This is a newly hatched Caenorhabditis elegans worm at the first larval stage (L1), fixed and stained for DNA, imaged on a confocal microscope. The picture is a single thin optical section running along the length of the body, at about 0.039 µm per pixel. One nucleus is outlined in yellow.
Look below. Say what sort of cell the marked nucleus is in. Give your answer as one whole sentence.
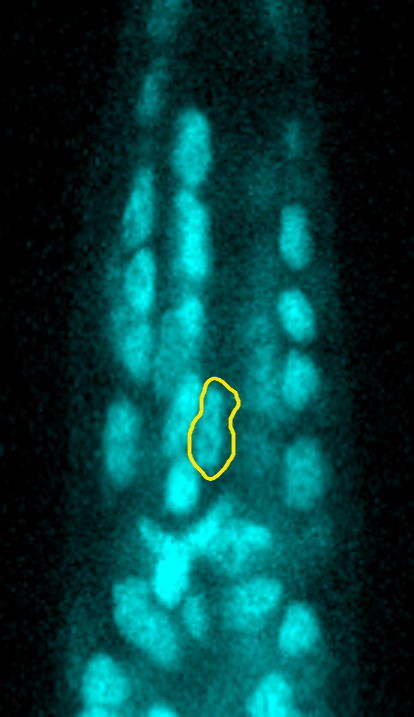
This is the nucleus of a pharyngeal muscle cell.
